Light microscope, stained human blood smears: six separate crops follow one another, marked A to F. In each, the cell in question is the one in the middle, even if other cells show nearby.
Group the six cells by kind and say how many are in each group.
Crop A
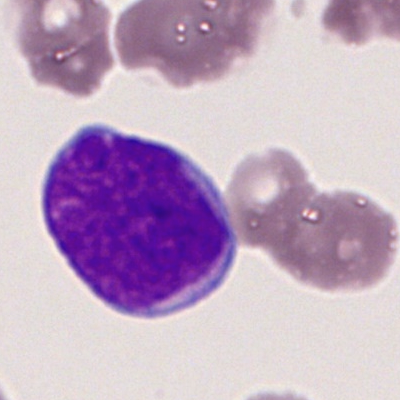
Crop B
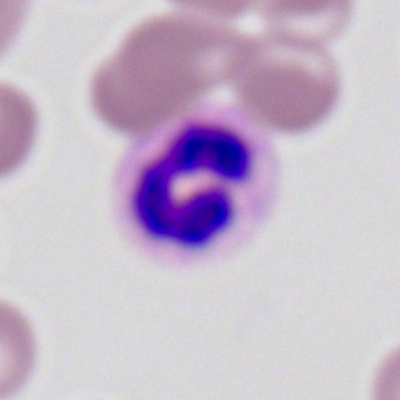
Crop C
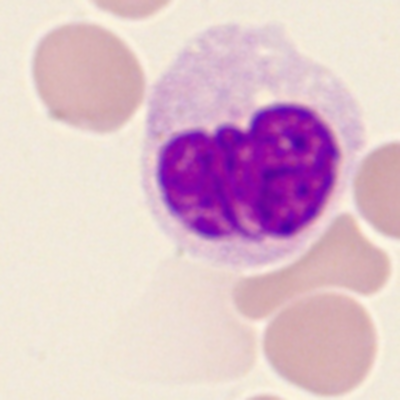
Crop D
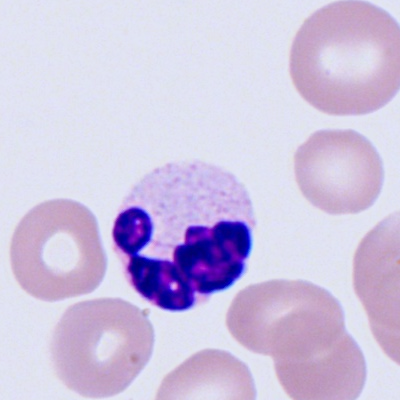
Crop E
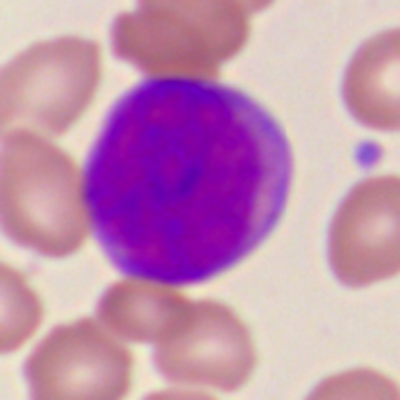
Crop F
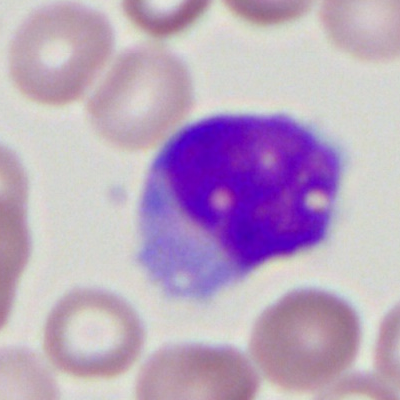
myeloblast: 2
segmented neutrophil: 2
monocyte: 2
